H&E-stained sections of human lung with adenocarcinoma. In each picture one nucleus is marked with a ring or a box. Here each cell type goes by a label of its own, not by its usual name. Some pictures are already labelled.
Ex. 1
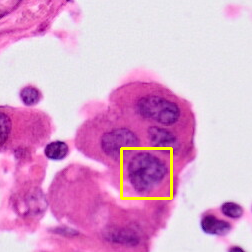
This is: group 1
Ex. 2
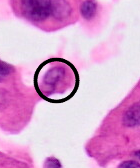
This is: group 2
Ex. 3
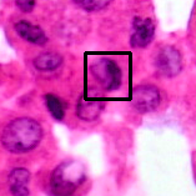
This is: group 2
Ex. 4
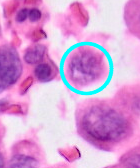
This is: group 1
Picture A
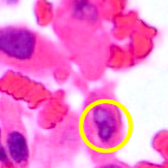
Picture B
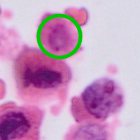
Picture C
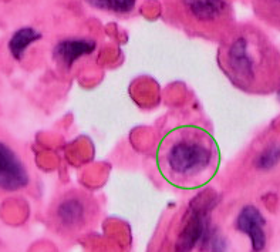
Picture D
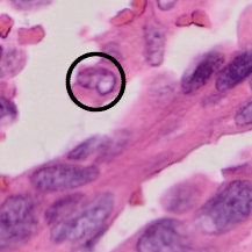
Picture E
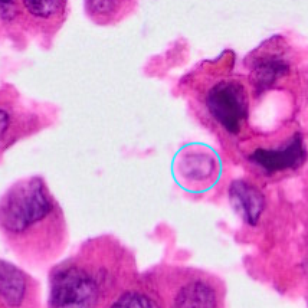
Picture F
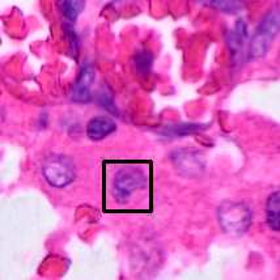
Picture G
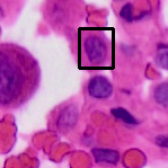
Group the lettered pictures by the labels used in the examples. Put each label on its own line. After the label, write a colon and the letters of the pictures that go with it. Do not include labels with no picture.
group 2: A, B, C, D, E, F, G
